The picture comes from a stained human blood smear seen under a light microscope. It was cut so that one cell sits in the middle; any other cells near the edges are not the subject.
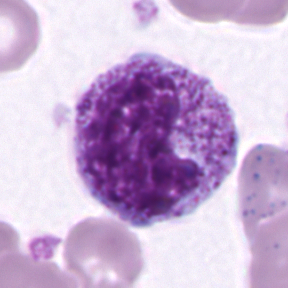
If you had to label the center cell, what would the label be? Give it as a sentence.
Classified as a metamyelocyte is the cell in the middle of this crop.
